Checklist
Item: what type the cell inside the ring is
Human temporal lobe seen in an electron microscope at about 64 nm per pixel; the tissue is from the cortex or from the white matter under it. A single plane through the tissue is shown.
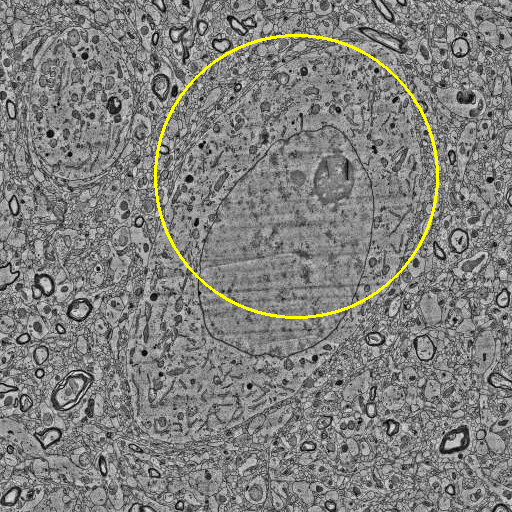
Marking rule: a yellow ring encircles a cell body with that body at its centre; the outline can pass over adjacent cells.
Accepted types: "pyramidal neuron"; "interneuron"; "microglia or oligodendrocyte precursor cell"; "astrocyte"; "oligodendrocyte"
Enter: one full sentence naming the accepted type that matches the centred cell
The entry is that a pyramidal neuron lies at the centre of the yellow ring.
